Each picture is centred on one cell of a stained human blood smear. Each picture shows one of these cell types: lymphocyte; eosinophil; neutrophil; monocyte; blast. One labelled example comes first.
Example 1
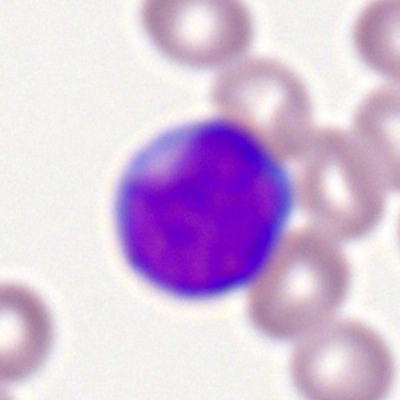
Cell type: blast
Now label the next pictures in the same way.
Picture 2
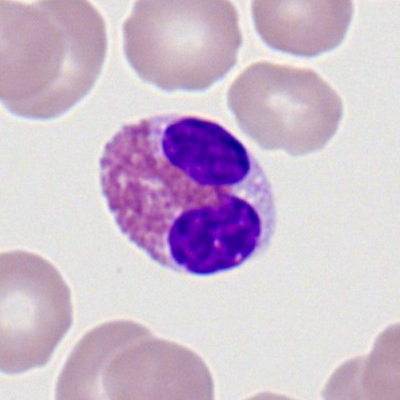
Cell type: eosinophil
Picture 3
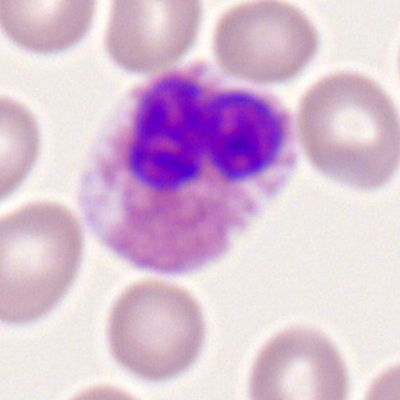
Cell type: eosinophil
